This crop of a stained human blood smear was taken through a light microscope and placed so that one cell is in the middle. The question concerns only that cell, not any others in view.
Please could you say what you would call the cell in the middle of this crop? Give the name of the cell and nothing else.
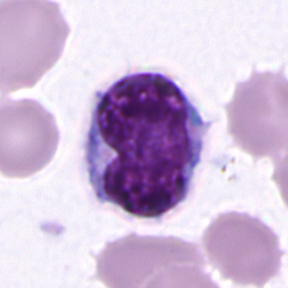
plasma cell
